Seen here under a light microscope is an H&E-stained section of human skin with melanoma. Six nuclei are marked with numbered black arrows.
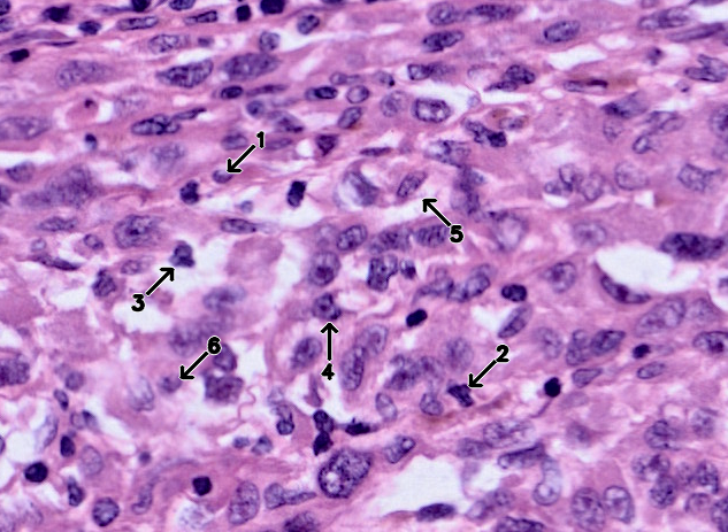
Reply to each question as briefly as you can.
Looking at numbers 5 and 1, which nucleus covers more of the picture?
5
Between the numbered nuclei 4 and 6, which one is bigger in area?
4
